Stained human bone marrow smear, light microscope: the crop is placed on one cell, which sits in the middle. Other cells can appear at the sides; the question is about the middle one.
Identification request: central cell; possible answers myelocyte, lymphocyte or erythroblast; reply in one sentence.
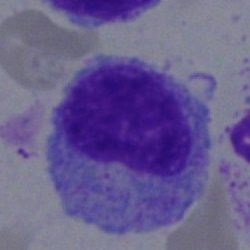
In the middle of this smear crop, the cell is a myelocyte.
